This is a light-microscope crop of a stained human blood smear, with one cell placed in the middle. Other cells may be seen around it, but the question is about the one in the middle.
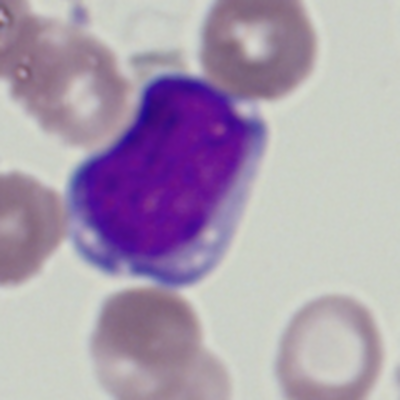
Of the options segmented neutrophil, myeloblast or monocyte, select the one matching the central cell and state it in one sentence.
Answering briefly, the cell in the middle is a myeloblast.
